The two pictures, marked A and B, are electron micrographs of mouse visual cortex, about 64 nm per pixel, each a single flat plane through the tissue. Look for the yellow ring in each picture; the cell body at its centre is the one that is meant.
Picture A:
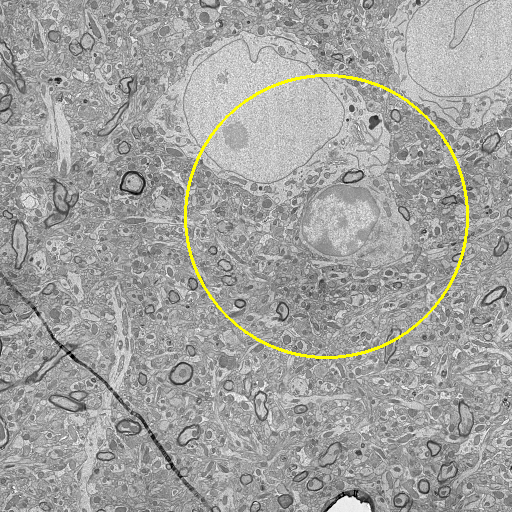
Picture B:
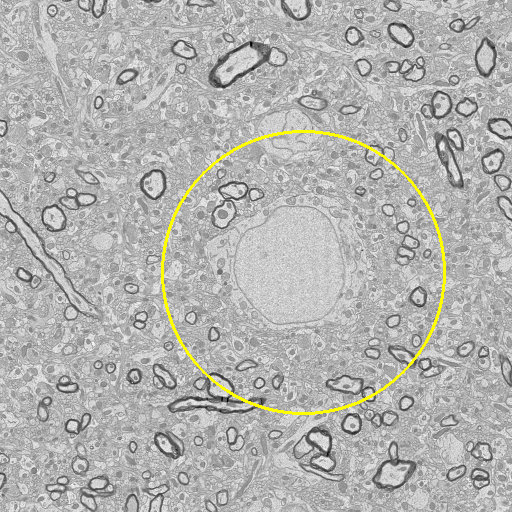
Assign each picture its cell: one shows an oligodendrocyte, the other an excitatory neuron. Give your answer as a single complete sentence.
It is picture A that shows an oligodendrocyte, and picture B that shows an excitatory neuron.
